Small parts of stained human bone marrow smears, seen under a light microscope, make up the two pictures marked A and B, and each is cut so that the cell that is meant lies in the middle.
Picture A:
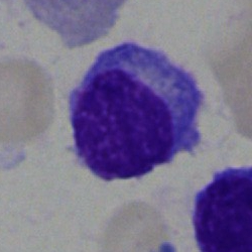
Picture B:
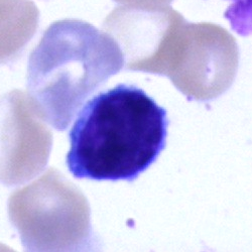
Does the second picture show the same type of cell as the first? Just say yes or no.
no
